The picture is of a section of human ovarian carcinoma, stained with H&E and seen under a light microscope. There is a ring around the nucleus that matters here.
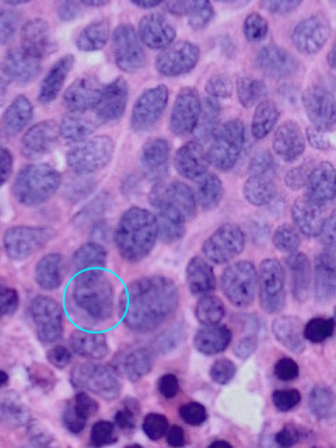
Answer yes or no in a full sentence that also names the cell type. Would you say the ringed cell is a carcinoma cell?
Yes, the ringed cell is properly called a carcinoma cell in this section.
